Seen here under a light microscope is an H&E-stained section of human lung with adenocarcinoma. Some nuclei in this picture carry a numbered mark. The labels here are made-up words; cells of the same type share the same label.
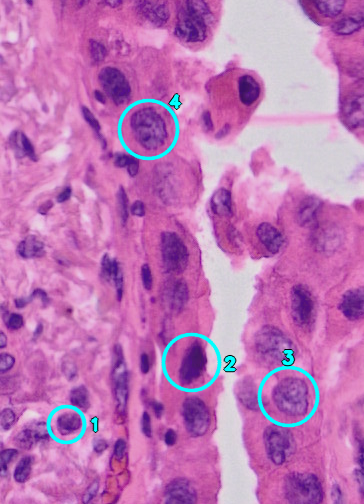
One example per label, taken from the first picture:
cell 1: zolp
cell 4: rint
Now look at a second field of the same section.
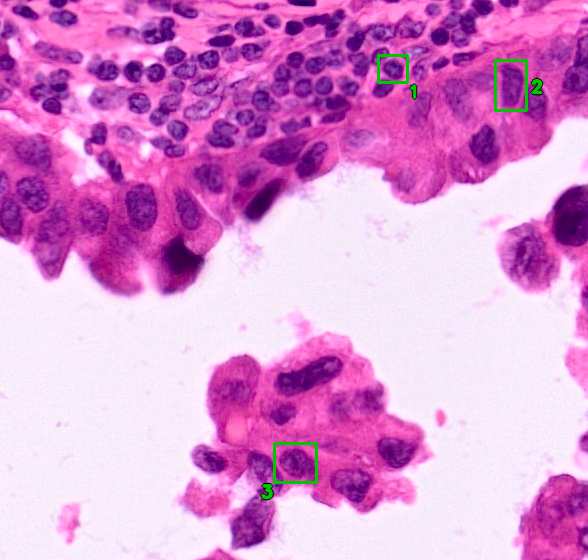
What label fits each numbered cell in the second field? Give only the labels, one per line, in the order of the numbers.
zolp
rint
rint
